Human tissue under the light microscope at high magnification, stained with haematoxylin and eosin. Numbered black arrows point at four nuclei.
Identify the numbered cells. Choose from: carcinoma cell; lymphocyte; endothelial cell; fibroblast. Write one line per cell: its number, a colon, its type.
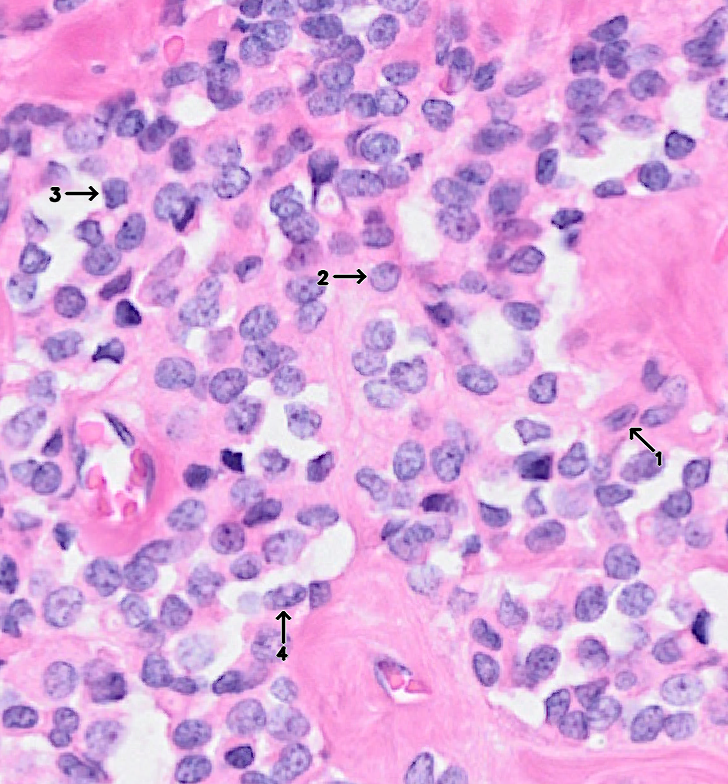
1: endothelial cell
2: carcinoma cell
3: carcinoma cell
4: carcinoma cell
